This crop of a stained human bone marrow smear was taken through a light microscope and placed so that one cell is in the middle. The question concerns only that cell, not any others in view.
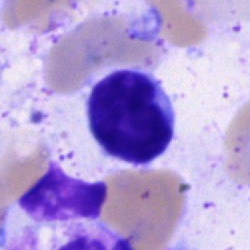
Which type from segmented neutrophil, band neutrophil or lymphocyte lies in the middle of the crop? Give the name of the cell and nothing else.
lymphocyte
